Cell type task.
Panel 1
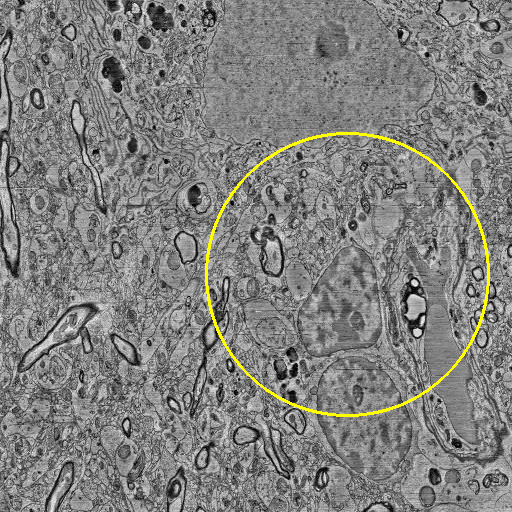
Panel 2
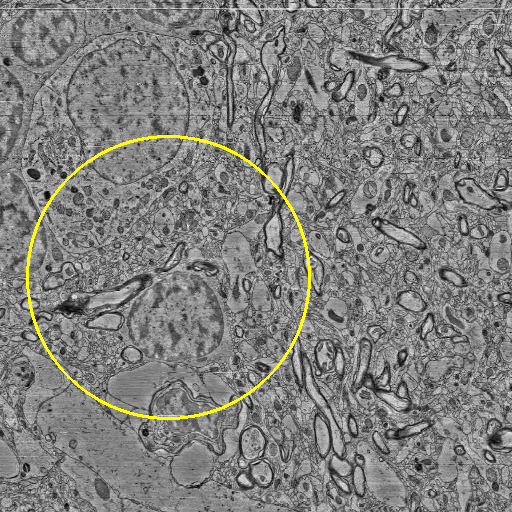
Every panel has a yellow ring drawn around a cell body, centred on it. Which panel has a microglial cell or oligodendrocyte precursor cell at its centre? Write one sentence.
It sits at the centre of the ring in Panel 1.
